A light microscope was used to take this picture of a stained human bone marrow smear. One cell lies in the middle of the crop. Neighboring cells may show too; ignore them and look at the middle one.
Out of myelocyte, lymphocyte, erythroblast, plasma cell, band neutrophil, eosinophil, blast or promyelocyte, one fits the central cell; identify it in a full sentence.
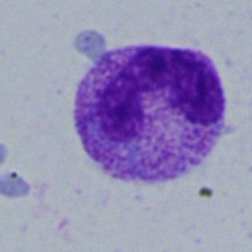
The cell sitting right in the middle is a band neutrophil.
